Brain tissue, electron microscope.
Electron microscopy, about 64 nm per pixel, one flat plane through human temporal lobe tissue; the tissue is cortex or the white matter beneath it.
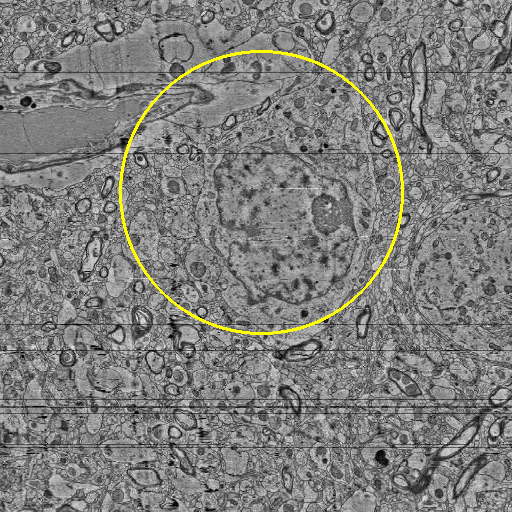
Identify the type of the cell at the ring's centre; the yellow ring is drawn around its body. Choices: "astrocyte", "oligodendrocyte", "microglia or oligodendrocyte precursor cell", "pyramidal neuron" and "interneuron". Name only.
interneuron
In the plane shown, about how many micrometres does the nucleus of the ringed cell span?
About 10 micrometers across, in this plane.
